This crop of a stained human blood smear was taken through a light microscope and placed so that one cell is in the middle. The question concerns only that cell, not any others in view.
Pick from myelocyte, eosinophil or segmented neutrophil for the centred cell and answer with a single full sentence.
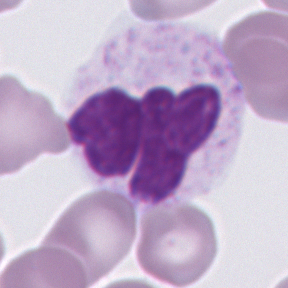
Where the crop is centred, there is a segmented neutrophil.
